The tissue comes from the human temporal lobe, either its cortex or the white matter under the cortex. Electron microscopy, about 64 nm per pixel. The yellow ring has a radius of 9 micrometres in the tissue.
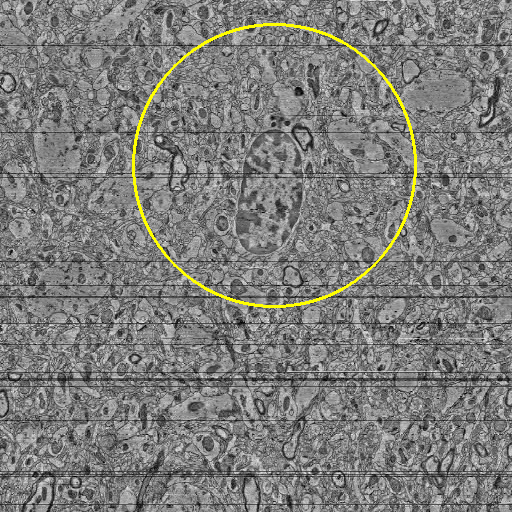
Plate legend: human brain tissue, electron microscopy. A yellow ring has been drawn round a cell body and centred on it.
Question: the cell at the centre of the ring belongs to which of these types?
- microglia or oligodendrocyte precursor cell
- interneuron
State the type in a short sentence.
The cell in the middle of the ring is a microglial cell or oligodendrocyte precursor cell.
